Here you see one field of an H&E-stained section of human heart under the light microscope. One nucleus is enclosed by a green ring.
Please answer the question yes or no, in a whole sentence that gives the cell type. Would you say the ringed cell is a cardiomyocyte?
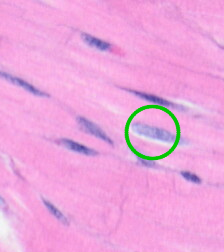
Yes, the ringed cell represents a cardiomyocyte in this tissue.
